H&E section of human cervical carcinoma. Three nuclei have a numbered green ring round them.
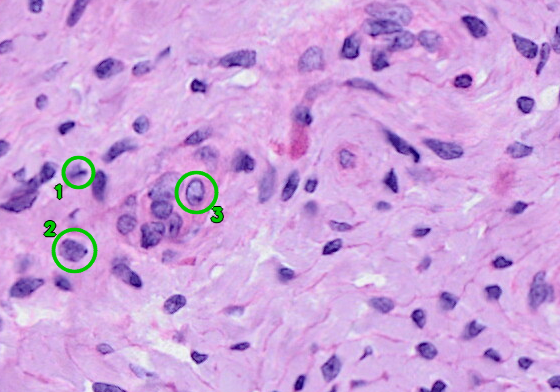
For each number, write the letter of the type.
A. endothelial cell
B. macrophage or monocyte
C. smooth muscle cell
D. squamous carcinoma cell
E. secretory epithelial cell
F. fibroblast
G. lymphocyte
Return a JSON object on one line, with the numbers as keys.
{"1": "F", "2": "F", "3": "A"}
